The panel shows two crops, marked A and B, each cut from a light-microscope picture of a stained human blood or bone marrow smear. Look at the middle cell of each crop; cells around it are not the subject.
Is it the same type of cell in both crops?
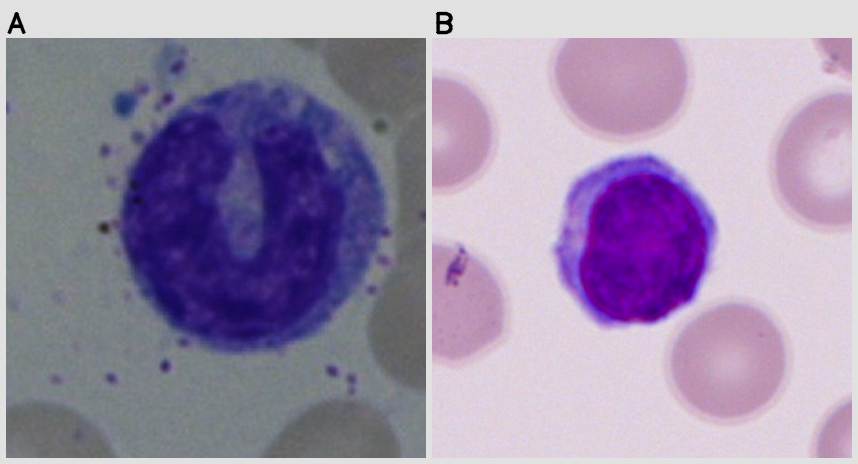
no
